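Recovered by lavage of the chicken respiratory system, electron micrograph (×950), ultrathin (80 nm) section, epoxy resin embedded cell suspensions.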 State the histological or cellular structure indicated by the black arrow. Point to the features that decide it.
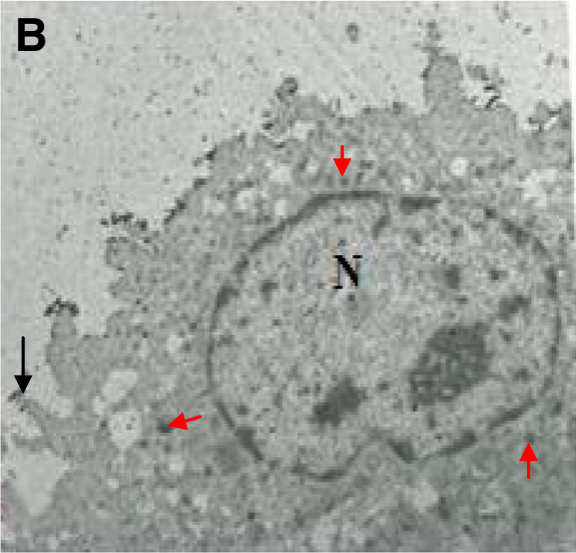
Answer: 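The cell surface is irregular, with many protrusions extending outward. The black arrow points at the irregular cell border on the left. So: filopodial extensions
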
